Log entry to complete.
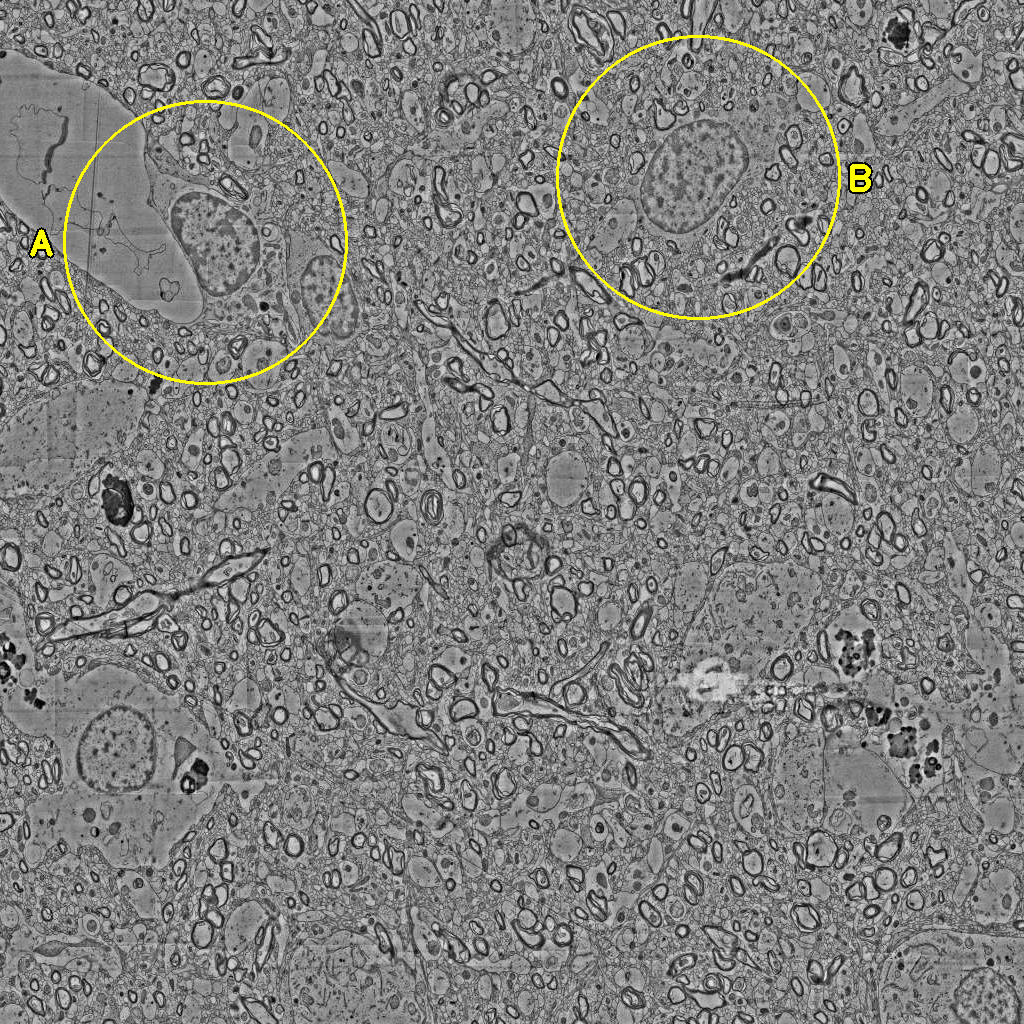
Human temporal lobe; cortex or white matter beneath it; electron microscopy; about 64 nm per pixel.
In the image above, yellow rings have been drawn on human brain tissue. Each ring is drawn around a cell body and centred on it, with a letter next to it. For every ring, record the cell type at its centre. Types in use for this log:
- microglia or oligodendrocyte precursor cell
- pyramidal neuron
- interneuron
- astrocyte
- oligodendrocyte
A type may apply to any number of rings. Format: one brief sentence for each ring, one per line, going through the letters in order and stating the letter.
In ring A, the centred cell is a microglial cell or oligodendrocyte precursor cell.
In ring B, the centred cell is an oligodendrocyte.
